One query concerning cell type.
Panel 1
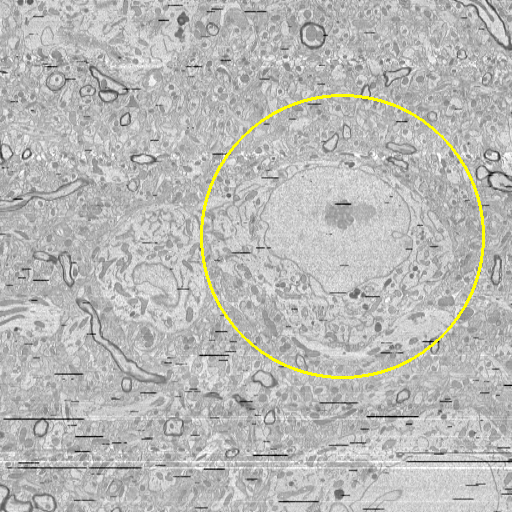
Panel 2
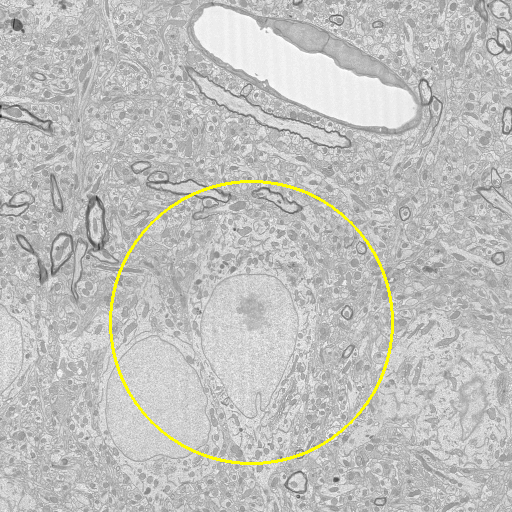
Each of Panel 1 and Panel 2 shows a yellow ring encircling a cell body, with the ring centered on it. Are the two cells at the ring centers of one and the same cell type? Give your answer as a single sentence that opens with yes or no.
Yes, the cell centered in Panel 1 and the one in Panel 2 share a type.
